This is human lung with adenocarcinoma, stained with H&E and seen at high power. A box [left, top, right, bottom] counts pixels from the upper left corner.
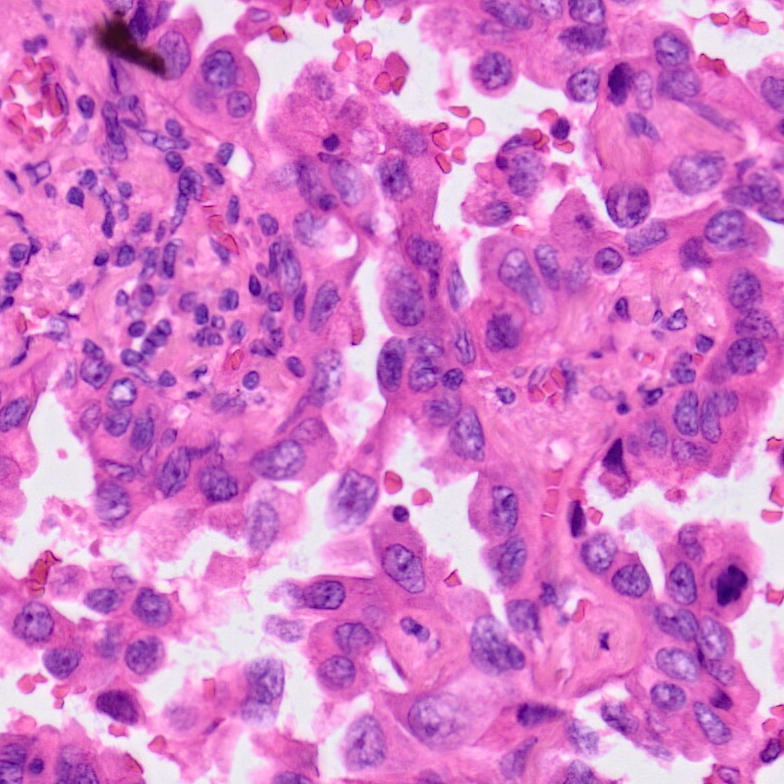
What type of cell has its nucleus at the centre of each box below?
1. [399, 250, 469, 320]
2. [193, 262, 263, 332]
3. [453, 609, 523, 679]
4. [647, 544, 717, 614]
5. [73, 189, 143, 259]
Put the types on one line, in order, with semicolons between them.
carcinoma cell; lymphocyte; carcinoma cell; carcinoma cell; lymphocyte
